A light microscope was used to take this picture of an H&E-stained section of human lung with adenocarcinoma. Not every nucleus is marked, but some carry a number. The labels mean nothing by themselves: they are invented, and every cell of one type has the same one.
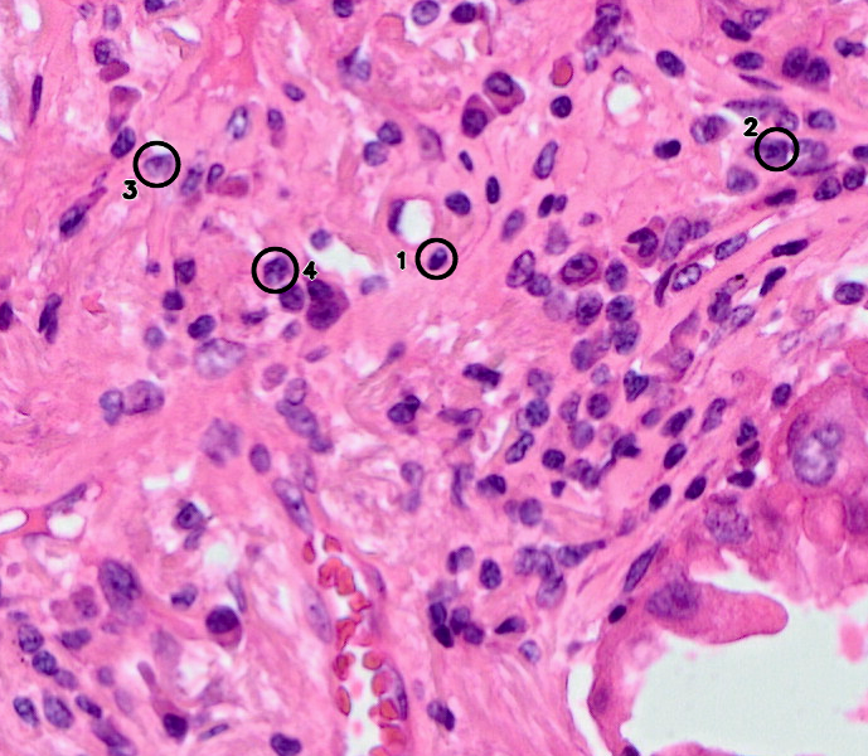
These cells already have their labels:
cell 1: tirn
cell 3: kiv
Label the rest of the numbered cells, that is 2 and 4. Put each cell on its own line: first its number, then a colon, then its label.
2: tirn
4: tirn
